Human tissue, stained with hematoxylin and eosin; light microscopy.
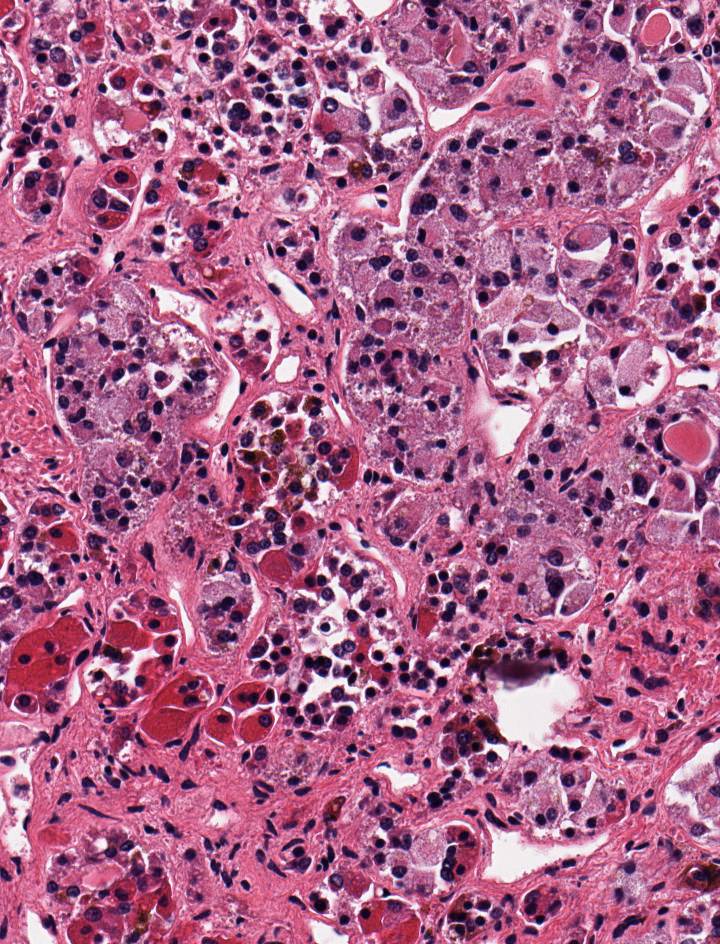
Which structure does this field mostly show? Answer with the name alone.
pars distalis of the pituitary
